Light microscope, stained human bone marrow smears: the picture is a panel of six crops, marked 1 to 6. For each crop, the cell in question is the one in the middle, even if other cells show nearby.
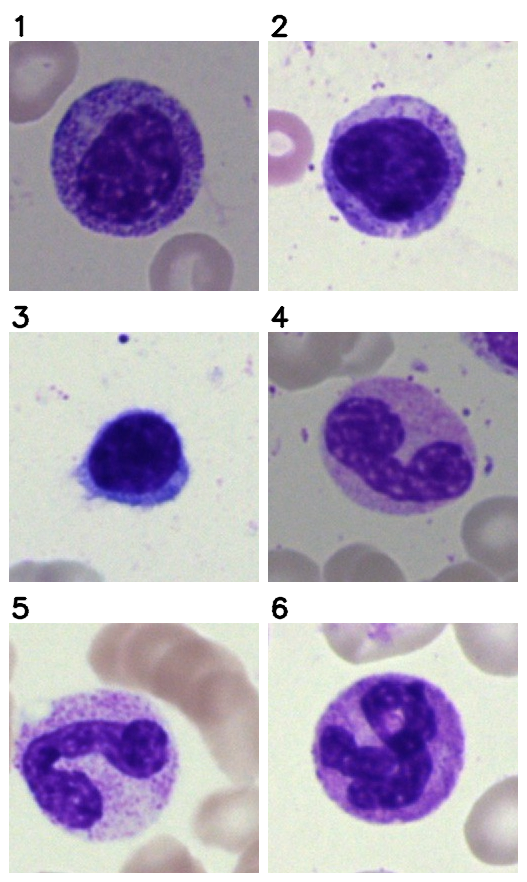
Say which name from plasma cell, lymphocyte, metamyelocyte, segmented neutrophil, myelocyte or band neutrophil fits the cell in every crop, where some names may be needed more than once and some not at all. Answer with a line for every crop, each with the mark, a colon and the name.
1: myelocyte
2: myelocyte
3: lymphocyte
4: segmented neutrophil
5: band neutrophil
6: segmented neutrophil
